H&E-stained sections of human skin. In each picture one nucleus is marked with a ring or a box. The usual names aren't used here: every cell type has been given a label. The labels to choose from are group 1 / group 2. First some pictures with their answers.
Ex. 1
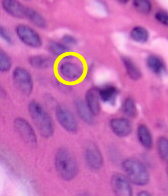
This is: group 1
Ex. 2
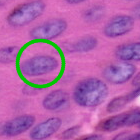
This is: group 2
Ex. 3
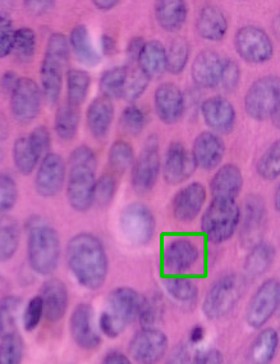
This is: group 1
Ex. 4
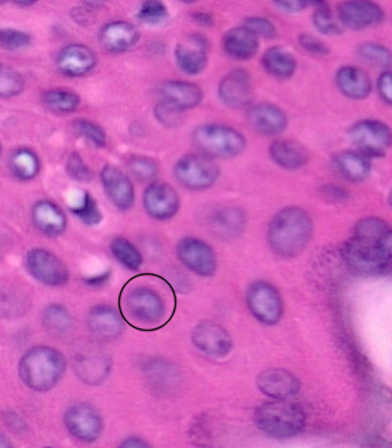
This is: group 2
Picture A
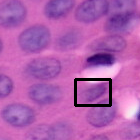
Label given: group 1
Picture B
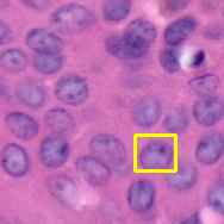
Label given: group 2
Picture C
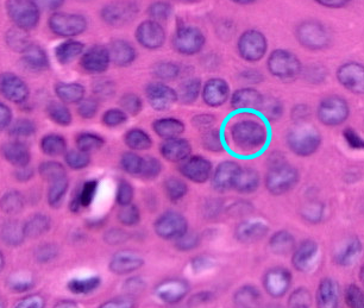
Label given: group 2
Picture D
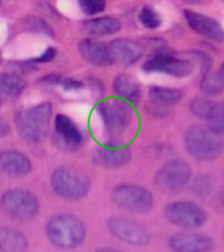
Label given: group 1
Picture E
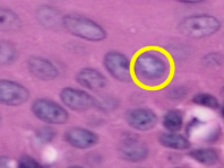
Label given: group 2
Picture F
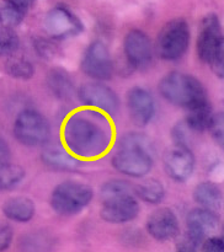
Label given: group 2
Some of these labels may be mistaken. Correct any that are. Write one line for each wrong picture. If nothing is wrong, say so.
Nothing to fix; every label fits.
